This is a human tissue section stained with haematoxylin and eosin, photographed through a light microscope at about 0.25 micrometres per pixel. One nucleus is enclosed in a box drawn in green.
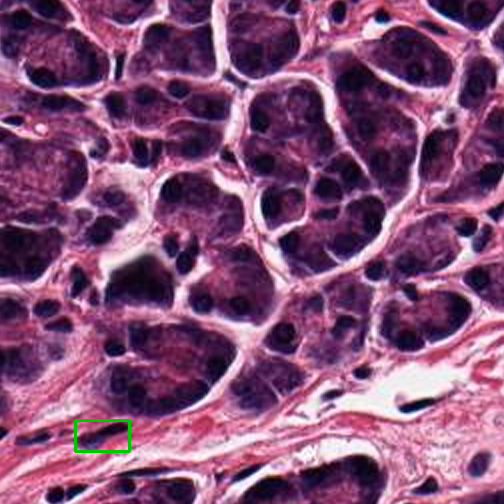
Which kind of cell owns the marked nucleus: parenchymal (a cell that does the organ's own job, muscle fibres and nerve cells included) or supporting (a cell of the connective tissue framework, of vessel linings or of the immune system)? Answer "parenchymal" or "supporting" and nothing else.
supporting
